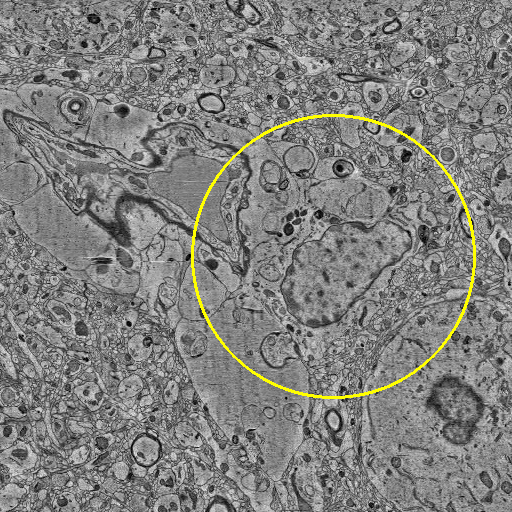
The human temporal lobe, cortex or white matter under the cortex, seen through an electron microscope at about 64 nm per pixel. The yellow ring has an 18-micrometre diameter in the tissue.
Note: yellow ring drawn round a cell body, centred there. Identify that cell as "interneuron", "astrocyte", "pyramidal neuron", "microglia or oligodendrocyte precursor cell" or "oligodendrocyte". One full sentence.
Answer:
The cell in the middle of the ring is a microglial cell or oligodendrocyte precursor cell.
